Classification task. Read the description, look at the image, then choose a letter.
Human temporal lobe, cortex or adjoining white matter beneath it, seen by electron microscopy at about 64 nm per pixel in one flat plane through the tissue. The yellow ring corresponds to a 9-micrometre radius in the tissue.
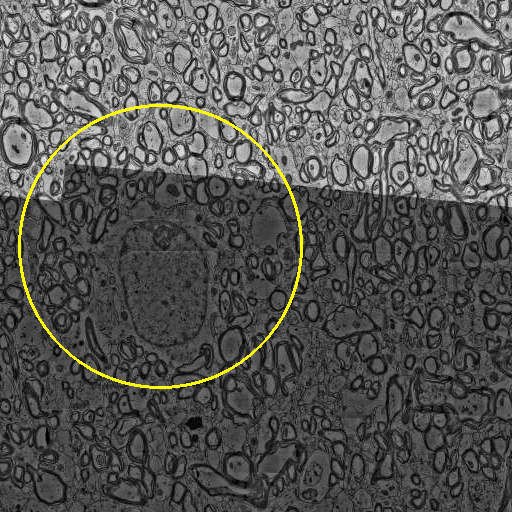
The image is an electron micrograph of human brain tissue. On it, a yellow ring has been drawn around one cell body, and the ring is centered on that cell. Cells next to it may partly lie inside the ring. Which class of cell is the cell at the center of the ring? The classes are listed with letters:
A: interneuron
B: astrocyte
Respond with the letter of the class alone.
B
